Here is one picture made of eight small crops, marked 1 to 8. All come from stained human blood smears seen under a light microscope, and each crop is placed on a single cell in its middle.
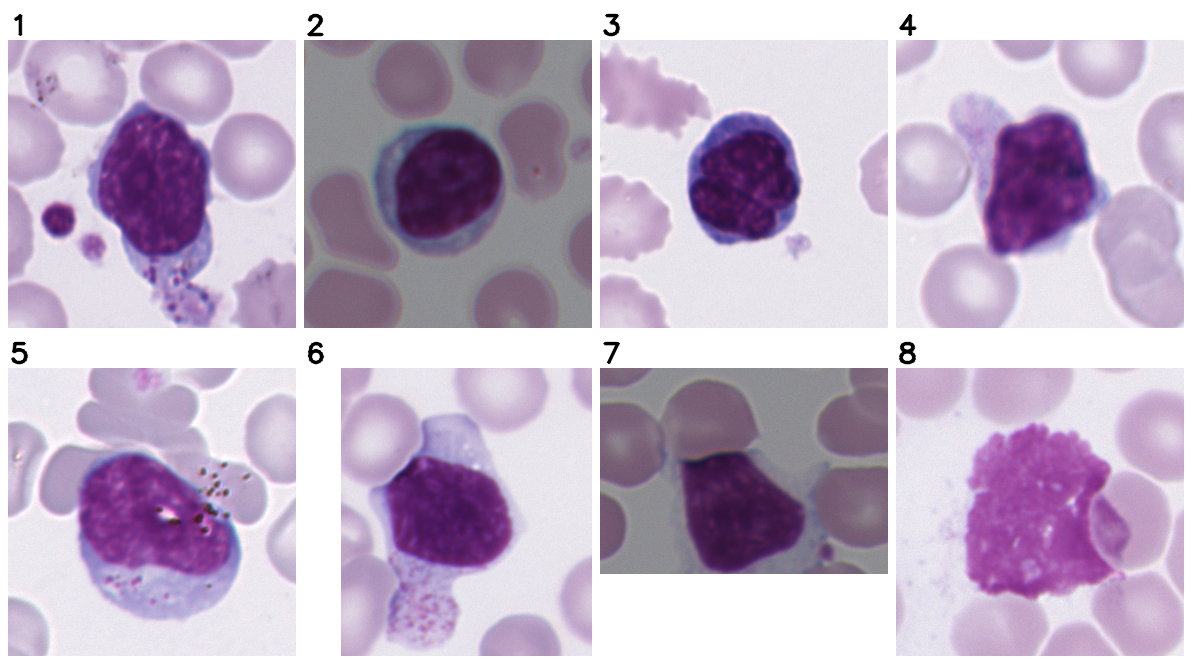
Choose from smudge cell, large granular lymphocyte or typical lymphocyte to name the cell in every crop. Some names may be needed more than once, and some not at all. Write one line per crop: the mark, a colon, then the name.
1: large granular lymphocyte
2: typical lymphocyte
3: typical lymphocyte
4: large granular lymphocyte
5: large granular lymphocyte
6: large granular lymphocyte
7: typical lymphocyte
8: smudge cell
